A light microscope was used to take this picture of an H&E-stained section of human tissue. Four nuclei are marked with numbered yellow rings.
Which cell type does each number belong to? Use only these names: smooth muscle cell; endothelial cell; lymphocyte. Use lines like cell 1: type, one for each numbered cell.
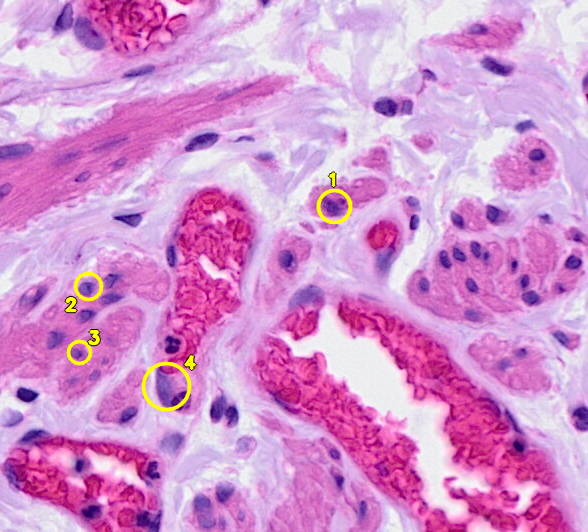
cell 1: smooth muscle cell
cell 2: smooth muscle cell
cell 3: smooth muscle cell
cell 4: endothelial cell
